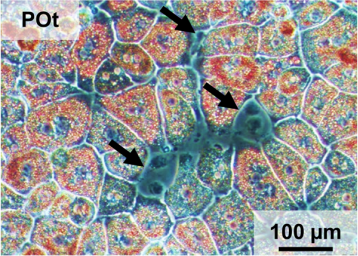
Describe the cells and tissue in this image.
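This culture shows large polygonal hepatocytes packed edge to edge in a cobblestone sheet, with a few flatter, smaller cells lying between them. The hepatocytes have sharp bright borders, a rounded central nucleus and a granular cytoplasm crowded with small round red-stained lipid droplets. The cells marked by the arrows are greyish-blue, irregular and spread out, with extensions that reach into the gaps between hepatocytes.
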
